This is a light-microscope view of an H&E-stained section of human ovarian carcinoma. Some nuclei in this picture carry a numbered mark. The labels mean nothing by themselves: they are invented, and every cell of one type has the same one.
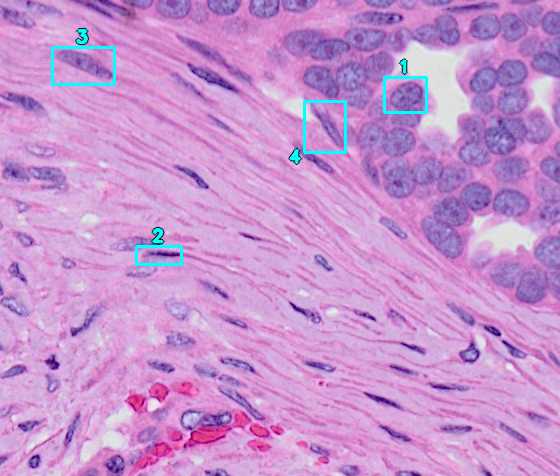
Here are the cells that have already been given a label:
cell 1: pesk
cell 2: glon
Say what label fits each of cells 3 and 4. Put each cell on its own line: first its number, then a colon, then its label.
3: glon
4: glon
